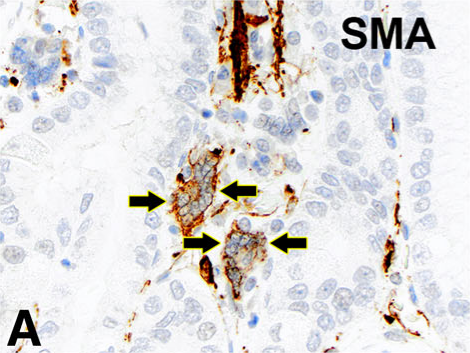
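Between glands lined by columnar epithelium, the stroma holds two large cells, each with several oval nuclei gathered in abundant cytoplasm that is stained brown. Thin brown-stained spindle cells run through the stroma nearby. These are multinucleated stromal giant cells.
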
